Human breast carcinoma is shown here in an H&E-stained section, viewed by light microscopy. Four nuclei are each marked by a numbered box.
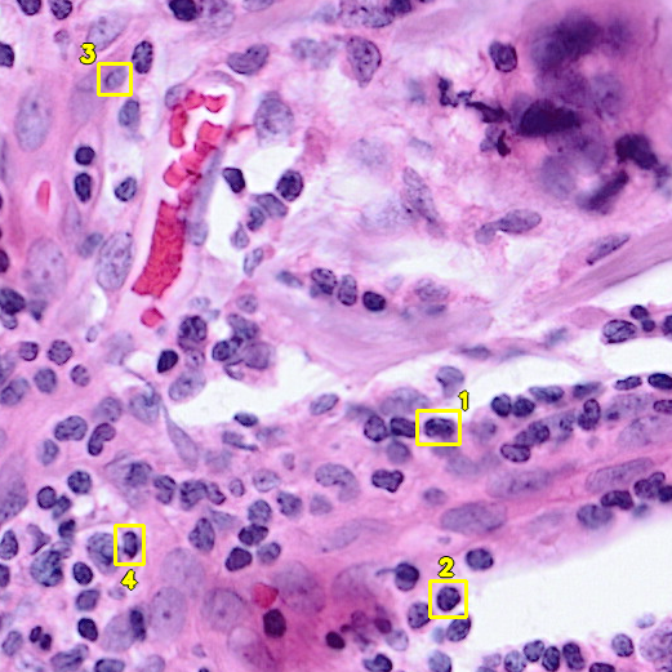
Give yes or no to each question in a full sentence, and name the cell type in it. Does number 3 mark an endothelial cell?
Yes, an endothelial cell is what the cell numbered 3 is.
